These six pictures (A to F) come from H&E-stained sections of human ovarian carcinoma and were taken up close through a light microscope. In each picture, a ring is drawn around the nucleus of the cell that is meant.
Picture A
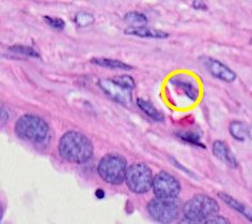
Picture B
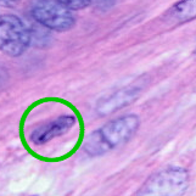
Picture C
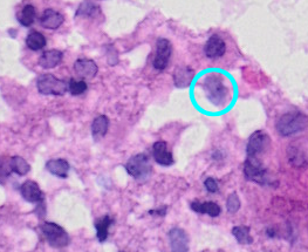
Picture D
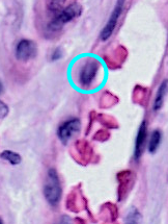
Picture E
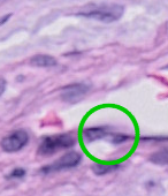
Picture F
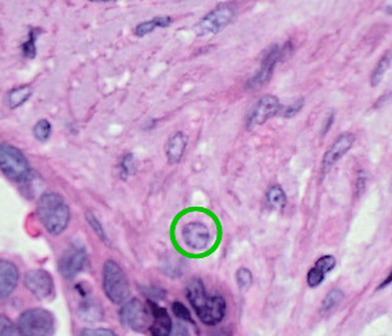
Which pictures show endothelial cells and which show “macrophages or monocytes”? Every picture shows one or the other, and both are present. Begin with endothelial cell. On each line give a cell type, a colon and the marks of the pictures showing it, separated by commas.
endothelial cell: A, D, E
macrophage or monocyte: B, C, F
